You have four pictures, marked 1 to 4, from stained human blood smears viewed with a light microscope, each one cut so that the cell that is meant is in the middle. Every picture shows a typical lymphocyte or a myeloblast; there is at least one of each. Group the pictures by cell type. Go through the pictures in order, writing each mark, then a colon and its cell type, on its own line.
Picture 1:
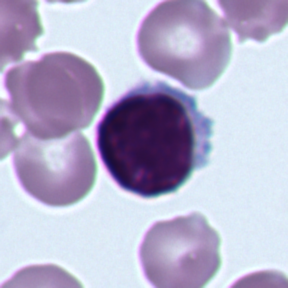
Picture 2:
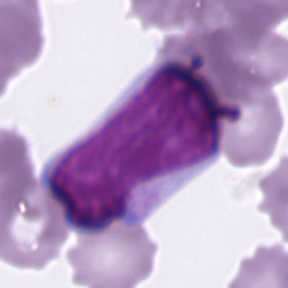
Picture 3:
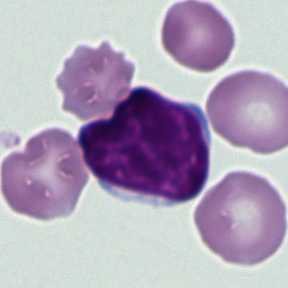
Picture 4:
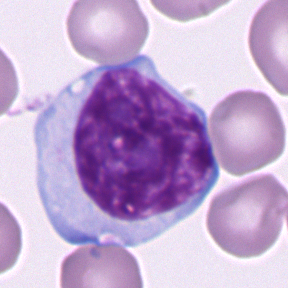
1: typical lymphocyte
2: myeloblast
3: typical lymphocyte
4: myeloblast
